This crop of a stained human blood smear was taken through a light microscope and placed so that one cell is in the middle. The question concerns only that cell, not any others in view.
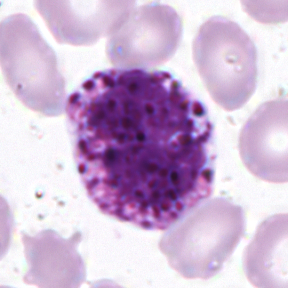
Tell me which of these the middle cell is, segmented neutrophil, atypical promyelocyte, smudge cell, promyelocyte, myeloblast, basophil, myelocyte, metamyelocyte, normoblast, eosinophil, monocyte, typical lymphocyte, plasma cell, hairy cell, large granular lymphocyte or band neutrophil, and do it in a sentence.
The cell marked by its central position in the crop is a basophil.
